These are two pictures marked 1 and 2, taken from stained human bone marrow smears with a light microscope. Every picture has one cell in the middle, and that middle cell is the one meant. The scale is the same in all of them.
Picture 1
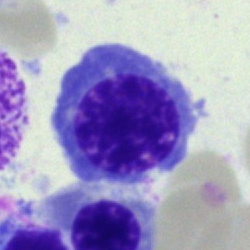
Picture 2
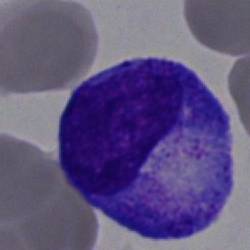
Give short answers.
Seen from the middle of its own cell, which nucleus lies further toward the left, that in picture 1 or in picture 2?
2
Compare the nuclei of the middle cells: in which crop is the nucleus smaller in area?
1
